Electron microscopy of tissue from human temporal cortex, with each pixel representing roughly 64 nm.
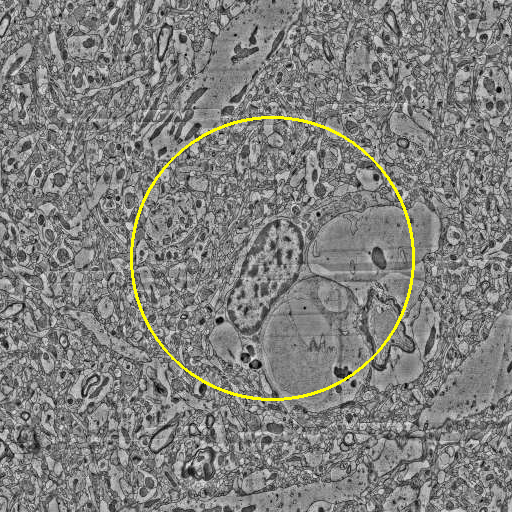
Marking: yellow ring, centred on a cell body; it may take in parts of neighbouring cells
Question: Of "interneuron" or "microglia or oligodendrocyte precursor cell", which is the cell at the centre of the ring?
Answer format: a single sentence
The ring surrounds the body of a microglial cell or oligodendrocyte precursor cell.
